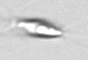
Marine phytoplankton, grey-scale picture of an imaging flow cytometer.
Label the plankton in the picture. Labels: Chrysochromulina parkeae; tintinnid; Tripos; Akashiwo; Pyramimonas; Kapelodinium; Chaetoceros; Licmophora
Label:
Chrysochromulina parkeae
